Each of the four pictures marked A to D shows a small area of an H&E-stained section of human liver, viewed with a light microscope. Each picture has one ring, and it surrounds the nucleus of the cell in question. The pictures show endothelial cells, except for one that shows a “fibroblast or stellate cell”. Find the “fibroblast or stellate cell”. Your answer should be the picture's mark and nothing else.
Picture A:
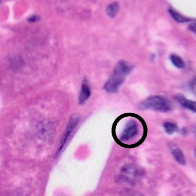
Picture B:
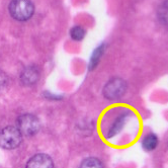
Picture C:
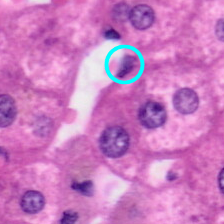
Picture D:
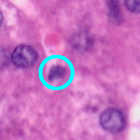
A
